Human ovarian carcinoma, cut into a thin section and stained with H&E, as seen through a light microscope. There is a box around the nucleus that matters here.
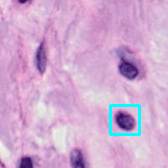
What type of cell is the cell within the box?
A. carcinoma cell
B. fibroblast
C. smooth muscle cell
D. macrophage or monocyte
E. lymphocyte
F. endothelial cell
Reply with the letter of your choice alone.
E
